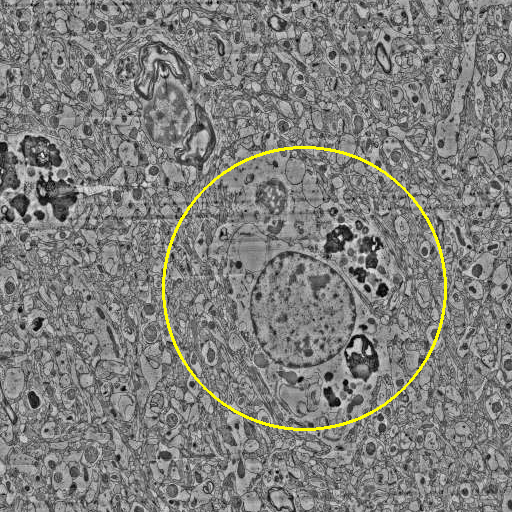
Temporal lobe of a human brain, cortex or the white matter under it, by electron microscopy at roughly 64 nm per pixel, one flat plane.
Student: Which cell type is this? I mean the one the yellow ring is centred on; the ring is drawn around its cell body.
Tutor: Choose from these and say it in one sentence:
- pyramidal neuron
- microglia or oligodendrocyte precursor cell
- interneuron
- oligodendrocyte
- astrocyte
The cell the ring is centred on is an astrocyte.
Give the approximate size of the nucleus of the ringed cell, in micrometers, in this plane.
In this plane the ringed cell's nucleus is roughly 7 micrometres across.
